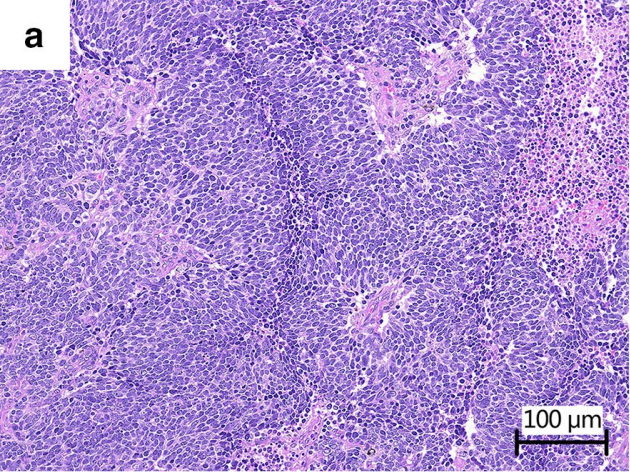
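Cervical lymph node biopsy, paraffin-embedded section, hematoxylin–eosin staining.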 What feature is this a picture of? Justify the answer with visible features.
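Dense sheets of small cells. Crowded tumour cells fill nearly the whole field in solid sheets. Cells are small with dark nuclei and scant cytoplasm. Only thin pink stromal strands separate the sheets.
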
